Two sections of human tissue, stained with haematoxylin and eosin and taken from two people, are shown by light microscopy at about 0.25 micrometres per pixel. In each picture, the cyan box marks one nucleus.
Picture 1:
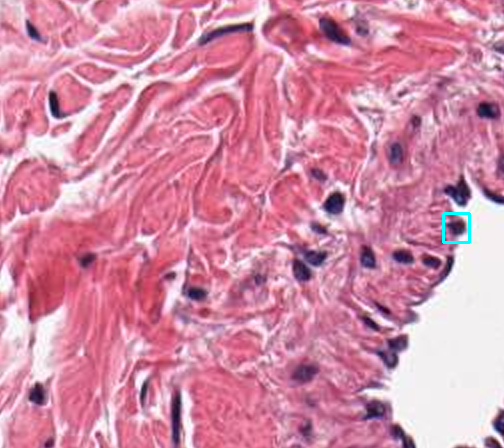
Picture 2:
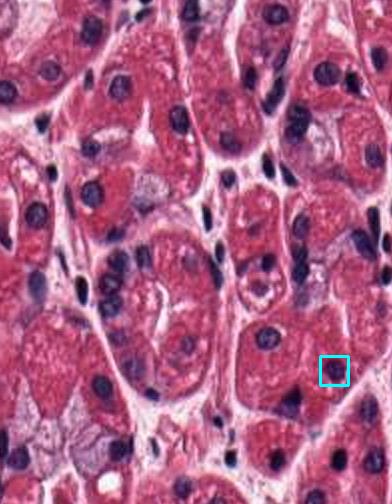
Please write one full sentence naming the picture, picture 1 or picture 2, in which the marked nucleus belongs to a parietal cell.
The mark in picture 2 is placed on the nucleus of a parietal cell.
